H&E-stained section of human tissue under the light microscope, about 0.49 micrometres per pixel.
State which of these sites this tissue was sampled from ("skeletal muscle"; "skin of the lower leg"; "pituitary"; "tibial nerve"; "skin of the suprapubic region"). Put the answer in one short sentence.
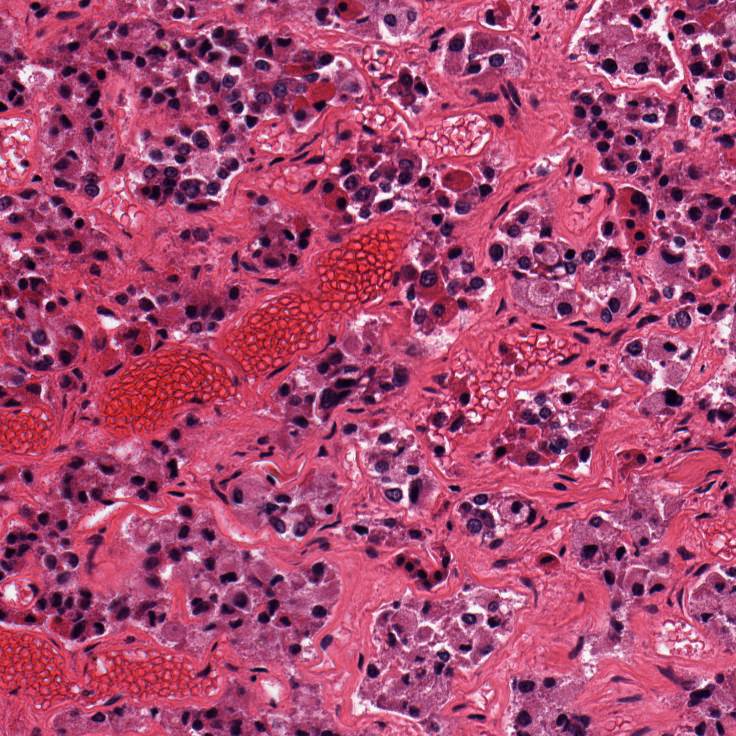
The site this tissue was sampled from is the pituitary.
